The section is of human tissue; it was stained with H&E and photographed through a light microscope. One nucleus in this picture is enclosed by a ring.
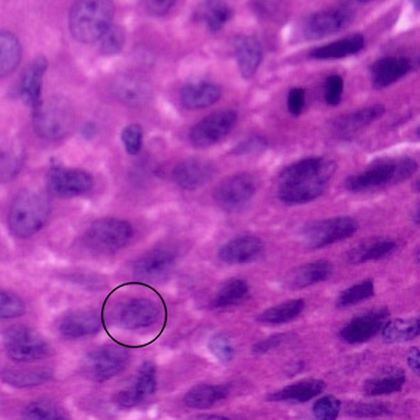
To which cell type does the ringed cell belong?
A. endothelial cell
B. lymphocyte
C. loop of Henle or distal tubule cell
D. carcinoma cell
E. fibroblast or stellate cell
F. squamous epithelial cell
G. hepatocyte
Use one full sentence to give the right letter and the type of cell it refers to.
Option F correctly identifies the ringed cell as a squamous epithelial cell.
